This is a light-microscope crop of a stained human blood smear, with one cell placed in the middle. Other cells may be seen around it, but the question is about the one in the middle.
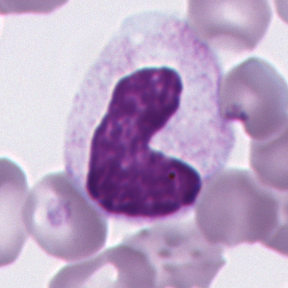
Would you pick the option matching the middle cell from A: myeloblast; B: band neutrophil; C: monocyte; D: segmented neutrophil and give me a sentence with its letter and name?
The cell in the middle is a band neutrophil, so option B is correct.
